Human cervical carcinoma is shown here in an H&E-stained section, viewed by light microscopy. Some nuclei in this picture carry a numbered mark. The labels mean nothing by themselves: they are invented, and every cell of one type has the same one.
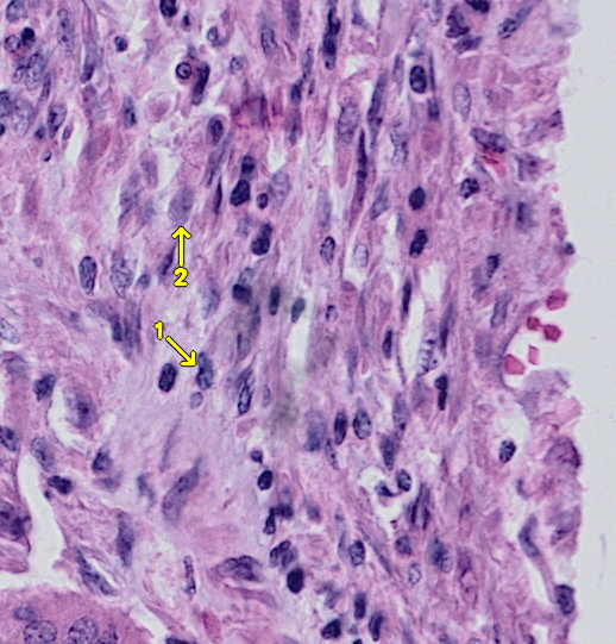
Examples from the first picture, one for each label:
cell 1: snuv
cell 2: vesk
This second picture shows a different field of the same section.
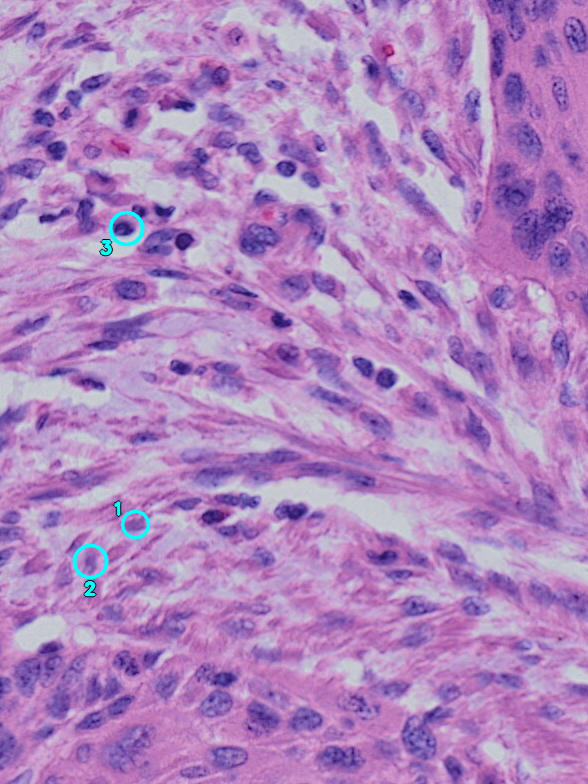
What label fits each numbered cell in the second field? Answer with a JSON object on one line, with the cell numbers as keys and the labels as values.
{"1": "vesk", "2": "vesk", "3": "snuv"}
